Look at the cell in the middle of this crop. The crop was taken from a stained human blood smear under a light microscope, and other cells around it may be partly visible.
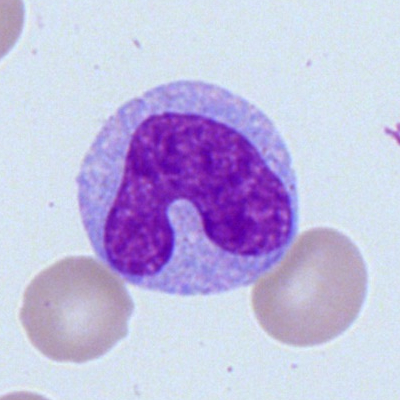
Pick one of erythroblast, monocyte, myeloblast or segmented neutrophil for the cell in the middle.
monocyte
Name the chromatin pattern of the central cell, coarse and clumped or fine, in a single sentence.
The chromatin shows a fine pattern without coarse clumps.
